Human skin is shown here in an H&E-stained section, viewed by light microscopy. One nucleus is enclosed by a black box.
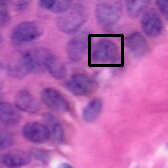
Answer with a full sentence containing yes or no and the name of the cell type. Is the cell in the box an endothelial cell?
No. Look again: the cell in the box is a basal keratinocyte, not an endothelial cell.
